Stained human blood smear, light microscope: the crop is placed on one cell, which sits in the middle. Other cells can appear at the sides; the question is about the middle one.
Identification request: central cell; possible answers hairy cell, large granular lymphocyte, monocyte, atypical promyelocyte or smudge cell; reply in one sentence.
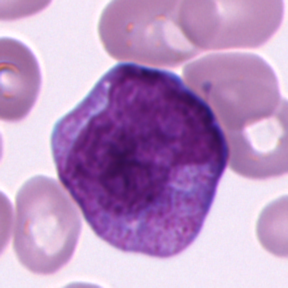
The cell at the middle of the crop is recognized as an atypical promyelocyte.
